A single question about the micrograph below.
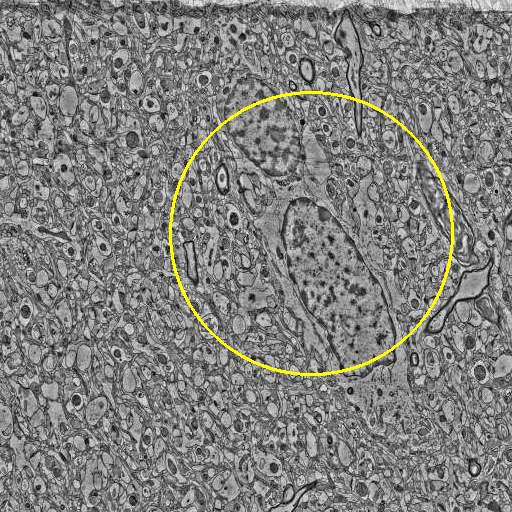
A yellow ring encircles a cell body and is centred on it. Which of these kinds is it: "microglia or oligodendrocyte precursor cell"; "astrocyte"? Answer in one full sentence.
The cell body at the centre of the yellow ring belongs to a microglial cell or oligodendrocyte precursor cell.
